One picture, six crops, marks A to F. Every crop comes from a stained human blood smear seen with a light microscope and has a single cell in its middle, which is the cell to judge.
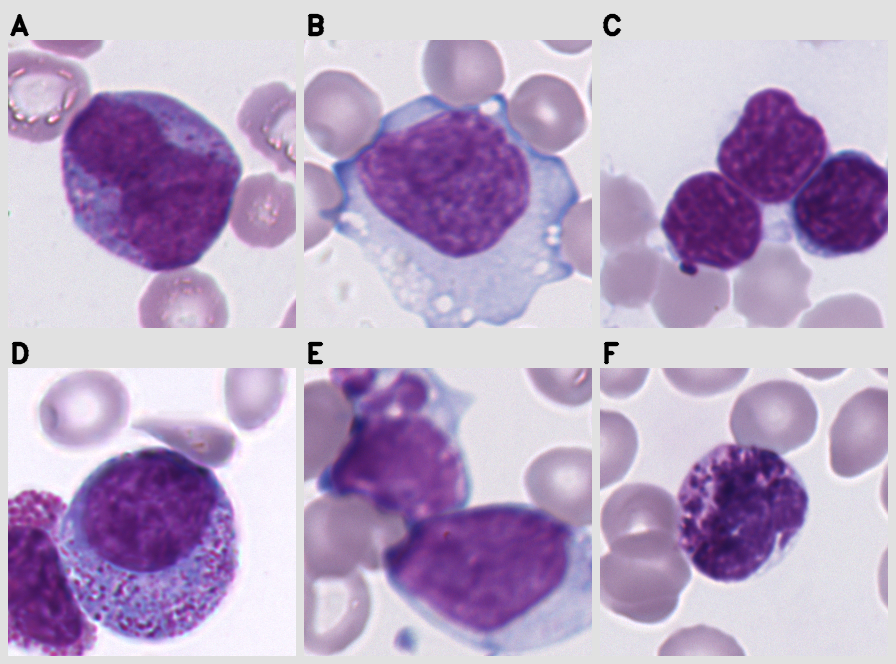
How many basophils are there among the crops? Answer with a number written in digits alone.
1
